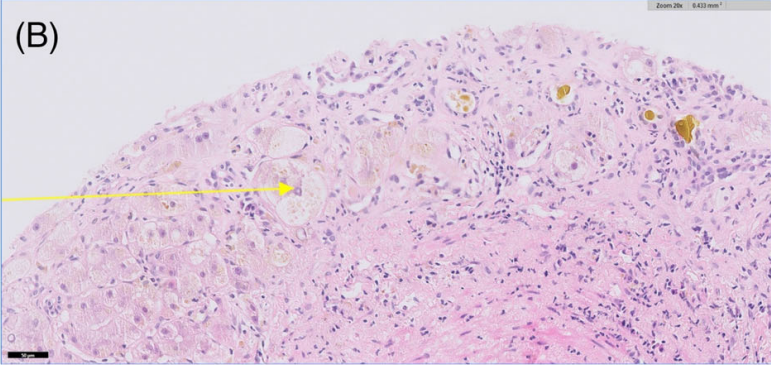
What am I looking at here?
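This is liver with injured hepatocytes and inflammation. Hepatocytes with pink cytoplasm form irregular groups; one enlarged, rounded cell stands out with pale, clear, wispy cytoplasm, a swollen or ballooned hepatocyte. Between the liver cells lie clusters of small, dark, round nuclei of inflammatory cells, breaking up the normal plates. Golden-brown pigment plugs appear in several places. The lower part of the field is more fibrous, with pink collagen and elongated spindle-shaped nuclei, and fewer hepatocytes remain there.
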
